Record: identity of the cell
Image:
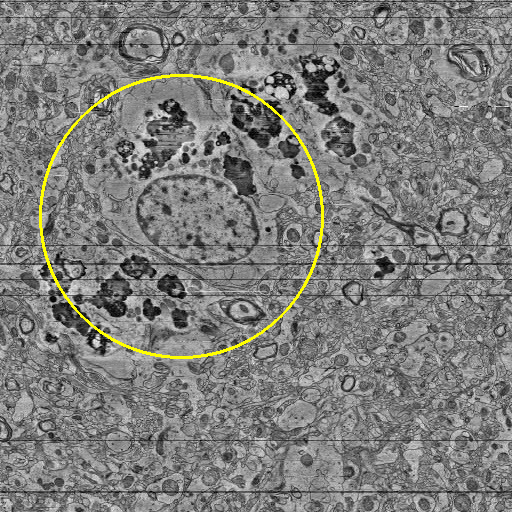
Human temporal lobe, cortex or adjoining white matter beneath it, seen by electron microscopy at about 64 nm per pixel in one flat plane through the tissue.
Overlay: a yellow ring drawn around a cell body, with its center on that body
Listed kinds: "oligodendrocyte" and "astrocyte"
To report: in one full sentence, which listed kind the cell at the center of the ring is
In the image, the cell body at the ring's center belongs to an astrocyte.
